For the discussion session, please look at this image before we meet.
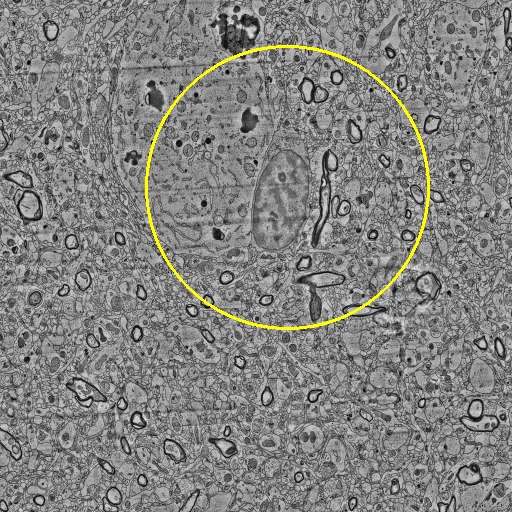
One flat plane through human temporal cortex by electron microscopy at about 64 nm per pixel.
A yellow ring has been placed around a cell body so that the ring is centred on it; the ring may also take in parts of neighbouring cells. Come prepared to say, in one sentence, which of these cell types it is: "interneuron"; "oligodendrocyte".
The cell centred in the ring is an oligodendrocyte.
